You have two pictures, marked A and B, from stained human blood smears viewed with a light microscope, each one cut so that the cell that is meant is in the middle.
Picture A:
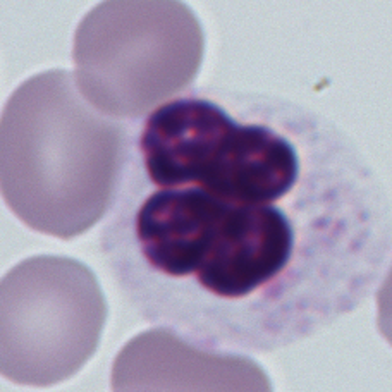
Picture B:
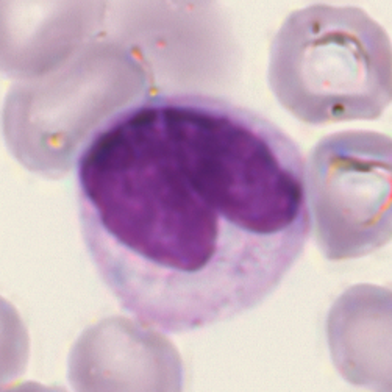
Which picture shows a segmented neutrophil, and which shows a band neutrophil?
A: segmented neutrophil
B: band neutrophil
